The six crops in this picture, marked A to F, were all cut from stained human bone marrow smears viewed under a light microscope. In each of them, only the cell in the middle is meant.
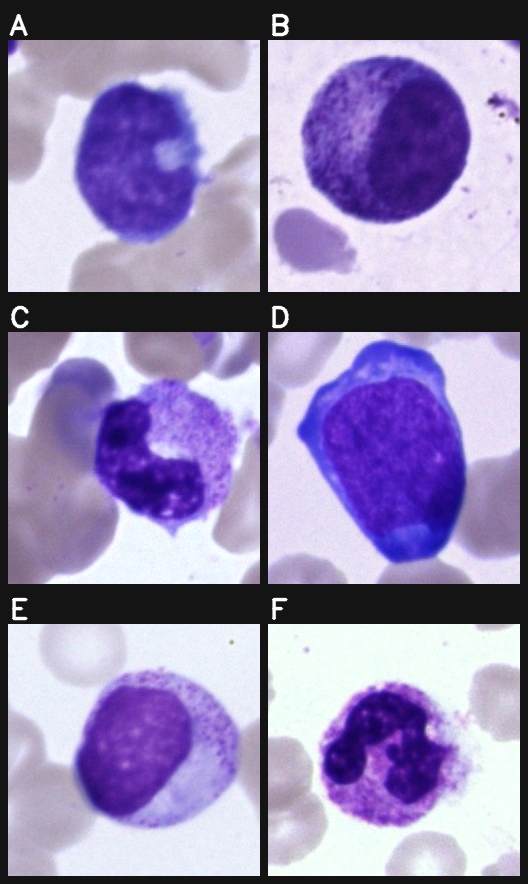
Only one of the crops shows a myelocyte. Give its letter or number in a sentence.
Crop E is the crop containing a myelocyte.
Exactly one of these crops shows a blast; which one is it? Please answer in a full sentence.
The crop that shows a blast is crop D.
